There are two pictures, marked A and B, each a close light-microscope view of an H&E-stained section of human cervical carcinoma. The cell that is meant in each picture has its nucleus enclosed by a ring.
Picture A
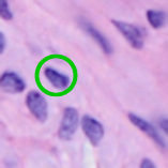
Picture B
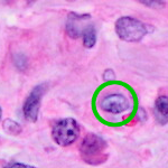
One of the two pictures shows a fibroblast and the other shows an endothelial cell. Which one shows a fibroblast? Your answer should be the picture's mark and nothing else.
A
